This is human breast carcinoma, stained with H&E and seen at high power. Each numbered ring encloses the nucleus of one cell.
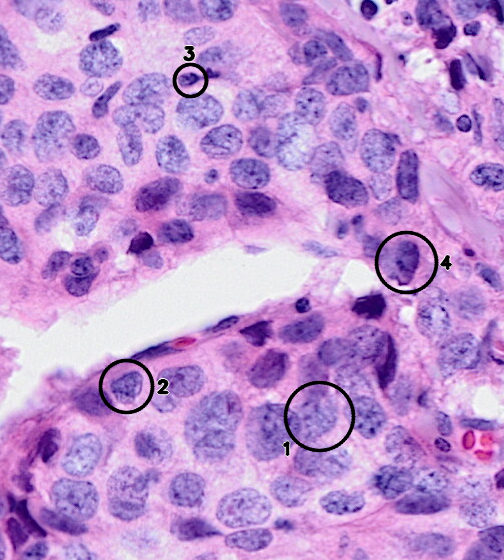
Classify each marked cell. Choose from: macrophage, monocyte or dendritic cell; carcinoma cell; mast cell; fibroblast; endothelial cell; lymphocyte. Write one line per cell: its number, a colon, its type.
1: carcinoma cell
2: carcinoma cell
3: lymphocyte
4: carcinoma cell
